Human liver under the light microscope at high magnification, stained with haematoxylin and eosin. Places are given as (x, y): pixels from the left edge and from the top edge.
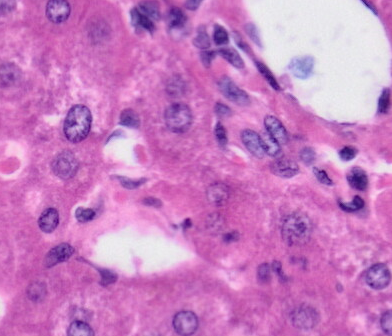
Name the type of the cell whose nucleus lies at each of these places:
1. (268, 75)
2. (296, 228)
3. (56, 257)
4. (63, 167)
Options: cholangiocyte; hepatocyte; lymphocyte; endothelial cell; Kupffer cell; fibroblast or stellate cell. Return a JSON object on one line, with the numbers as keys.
{"1": "fibroblast or stellate cell", "2": "hepatocyte", "3": "fibroblast or stellate cell", "4": "hepatocyte"}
